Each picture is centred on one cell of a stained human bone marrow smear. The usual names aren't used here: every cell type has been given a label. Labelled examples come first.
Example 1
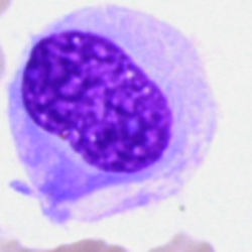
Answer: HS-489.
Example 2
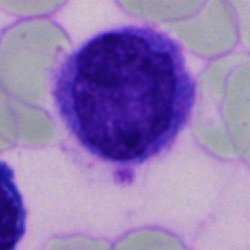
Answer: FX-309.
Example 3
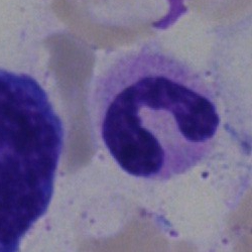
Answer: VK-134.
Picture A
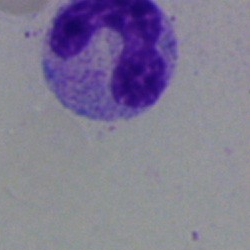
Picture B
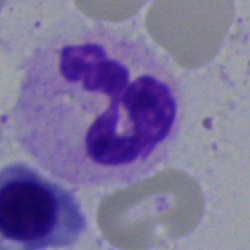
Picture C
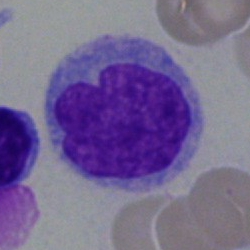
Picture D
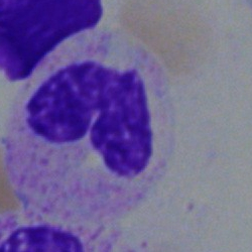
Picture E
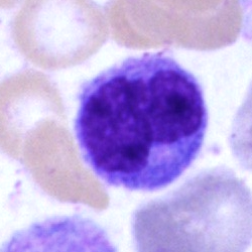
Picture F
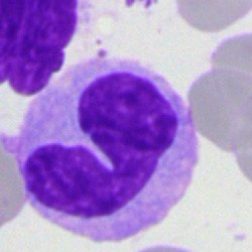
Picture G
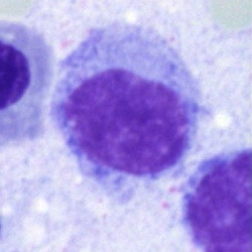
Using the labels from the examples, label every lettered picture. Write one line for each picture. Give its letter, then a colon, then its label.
A: VK-134.
B: VK-134.
C: FX-309.
D: VK-134.
E: FX-309.
F: FX-309.
G: HS-489.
